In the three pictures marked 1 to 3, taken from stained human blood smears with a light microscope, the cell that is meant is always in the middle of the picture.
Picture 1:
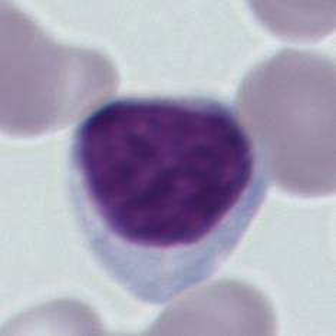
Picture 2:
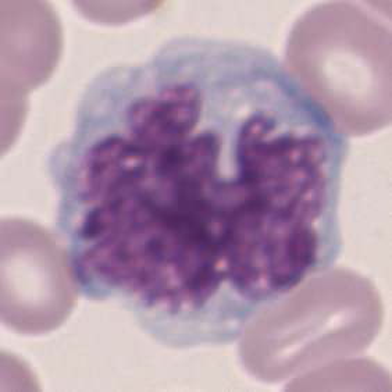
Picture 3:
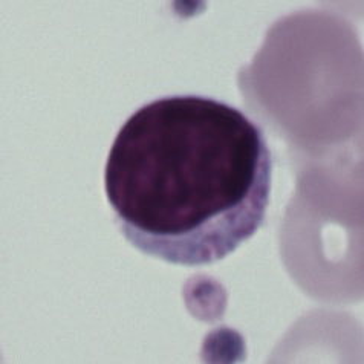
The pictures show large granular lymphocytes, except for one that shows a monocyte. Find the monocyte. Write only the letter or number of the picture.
2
